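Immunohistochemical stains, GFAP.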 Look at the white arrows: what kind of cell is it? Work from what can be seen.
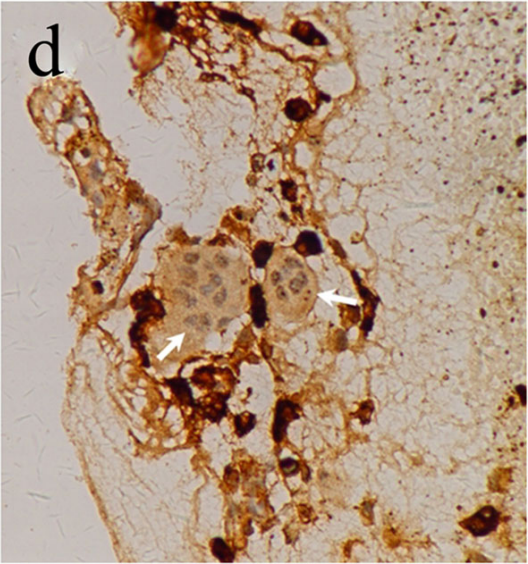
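Two large cells each with several nuclei. Their cytoplasm is pale, unlike the dark brown cells around them.
Hence: multinucleated giant cells.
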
